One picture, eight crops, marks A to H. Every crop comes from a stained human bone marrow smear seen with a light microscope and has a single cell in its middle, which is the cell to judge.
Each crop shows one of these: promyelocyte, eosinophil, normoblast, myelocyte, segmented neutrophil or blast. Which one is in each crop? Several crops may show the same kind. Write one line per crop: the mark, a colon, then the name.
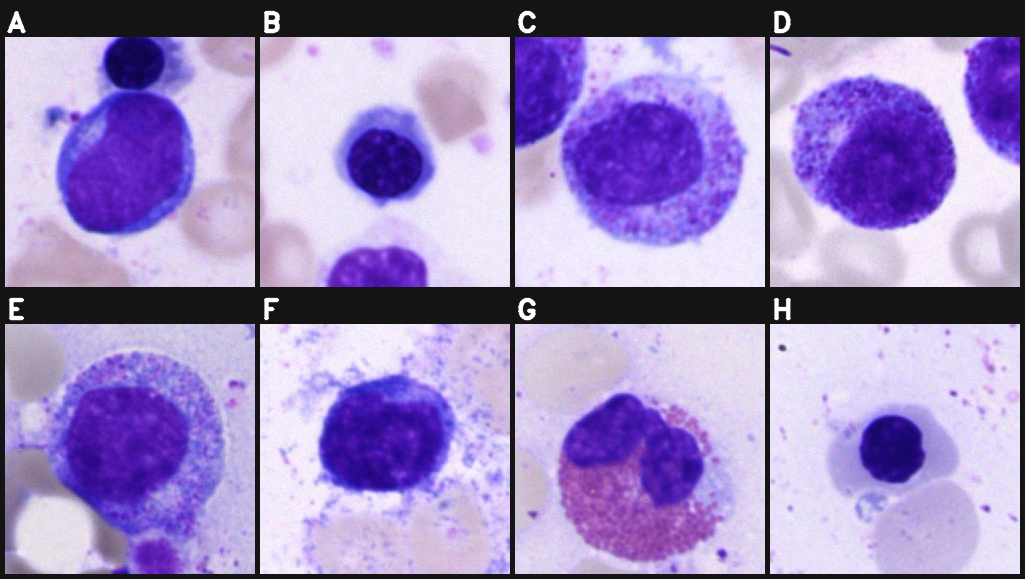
A: blast
B: normoblast
C: promyelocyte
D: promyelocyte
E: promyelocyte
F: blast
G: eosinophil
H: normoblast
